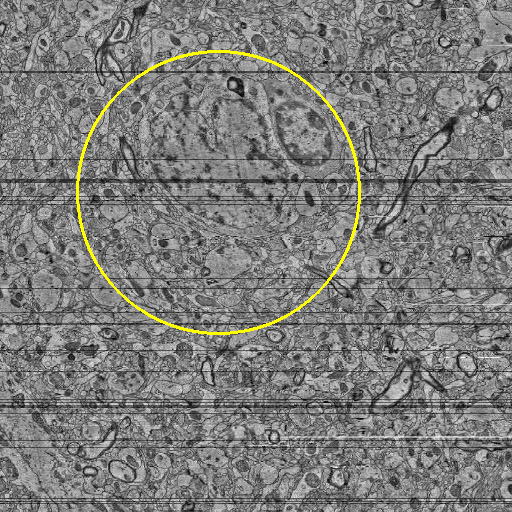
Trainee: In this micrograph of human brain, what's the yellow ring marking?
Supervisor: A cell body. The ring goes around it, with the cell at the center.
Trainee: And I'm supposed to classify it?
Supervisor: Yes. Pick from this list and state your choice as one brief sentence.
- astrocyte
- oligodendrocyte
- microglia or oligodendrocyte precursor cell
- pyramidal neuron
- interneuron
The cell at the ring's center is an interneuron.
